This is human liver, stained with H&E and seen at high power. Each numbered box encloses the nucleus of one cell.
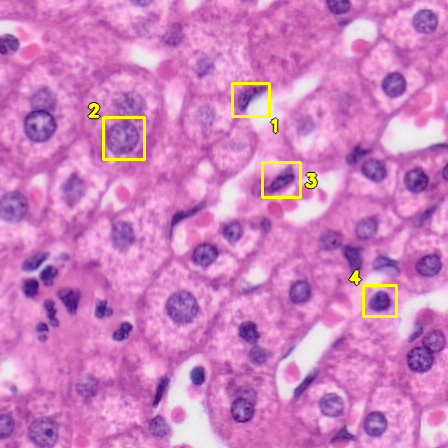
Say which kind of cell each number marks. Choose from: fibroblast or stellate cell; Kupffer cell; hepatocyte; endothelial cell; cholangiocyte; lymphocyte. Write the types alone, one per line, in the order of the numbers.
endothelial cell
hepatocyte
Kupffer cell
lymphocyte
